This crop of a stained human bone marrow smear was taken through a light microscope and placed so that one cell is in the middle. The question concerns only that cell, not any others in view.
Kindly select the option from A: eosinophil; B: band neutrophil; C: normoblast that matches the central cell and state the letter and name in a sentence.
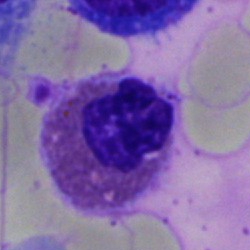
The cell shown centrally is an eosinophil; option A is the correct option.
